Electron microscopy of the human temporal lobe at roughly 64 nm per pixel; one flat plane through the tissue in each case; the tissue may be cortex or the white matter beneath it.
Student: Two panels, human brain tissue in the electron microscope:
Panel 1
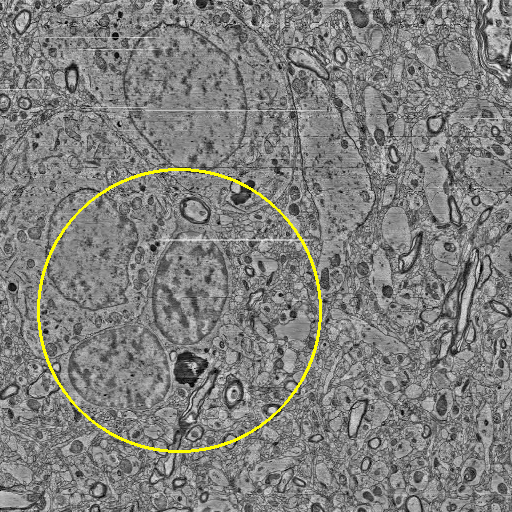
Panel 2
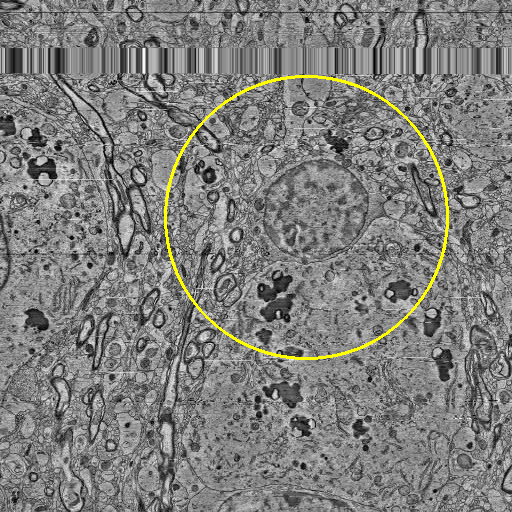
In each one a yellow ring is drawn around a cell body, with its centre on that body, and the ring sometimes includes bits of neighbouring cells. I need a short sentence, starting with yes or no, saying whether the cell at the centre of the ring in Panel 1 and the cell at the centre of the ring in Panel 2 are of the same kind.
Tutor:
Yes, they are the same kind of cell.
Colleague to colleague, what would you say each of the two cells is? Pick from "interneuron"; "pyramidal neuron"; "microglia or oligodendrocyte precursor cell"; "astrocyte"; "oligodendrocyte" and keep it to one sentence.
Both cells are the same kind, each one being an oligodendrocyte.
